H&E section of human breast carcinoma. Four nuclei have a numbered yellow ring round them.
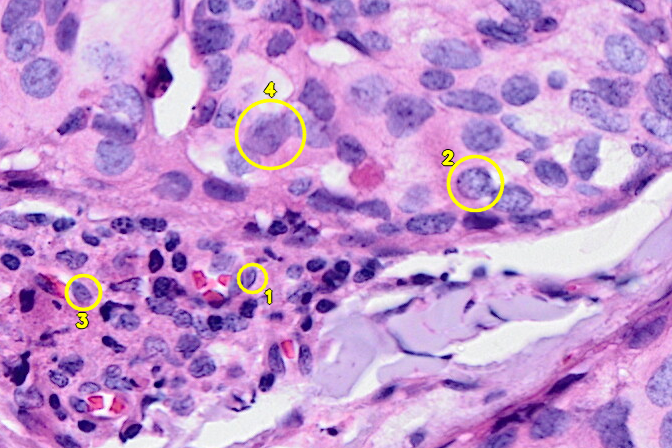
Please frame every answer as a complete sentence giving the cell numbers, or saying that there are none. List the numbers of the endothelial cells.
The cells bearing the numbers 1 and 3 are endothelial cells.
